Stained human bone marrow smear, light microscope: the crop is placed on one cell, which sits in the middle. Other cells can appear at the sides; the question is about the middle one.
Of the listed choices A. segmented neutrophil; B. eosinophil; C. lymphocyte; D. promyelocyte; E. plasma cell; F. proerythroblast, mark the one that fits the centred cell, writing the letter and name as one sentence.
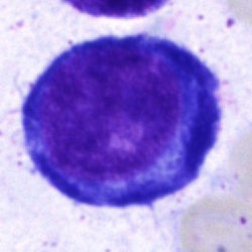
Option F is the correct selection, for the cell at the centre is a proerythroblast.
